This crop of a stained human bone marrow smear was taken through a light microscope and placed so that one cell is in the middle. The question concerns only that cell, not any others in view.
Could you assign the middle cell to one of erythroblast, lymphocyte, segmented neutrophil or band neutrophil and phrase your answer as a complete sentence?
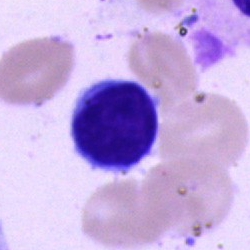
The cell marked by its central position in the crop is a lymphocyte.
